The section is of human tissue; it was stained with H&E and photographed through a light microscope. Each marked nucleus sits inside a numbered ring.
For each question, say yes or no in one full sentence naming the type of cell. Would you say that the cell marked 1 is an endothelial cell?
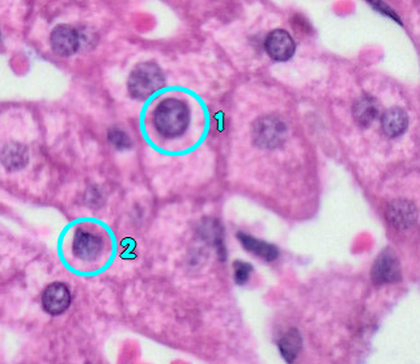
No, the cell numbered 1 is a hepatocyte rather than an endothelial cell.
